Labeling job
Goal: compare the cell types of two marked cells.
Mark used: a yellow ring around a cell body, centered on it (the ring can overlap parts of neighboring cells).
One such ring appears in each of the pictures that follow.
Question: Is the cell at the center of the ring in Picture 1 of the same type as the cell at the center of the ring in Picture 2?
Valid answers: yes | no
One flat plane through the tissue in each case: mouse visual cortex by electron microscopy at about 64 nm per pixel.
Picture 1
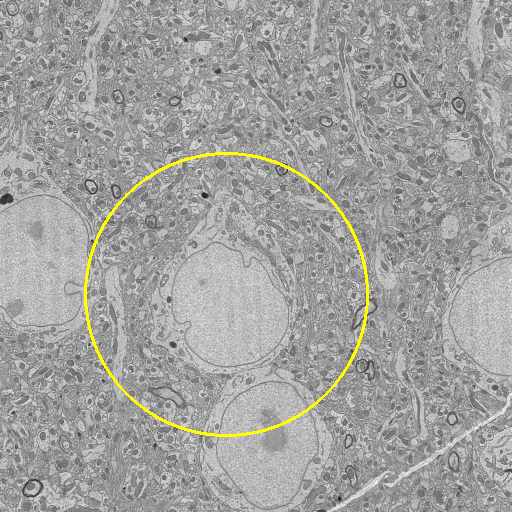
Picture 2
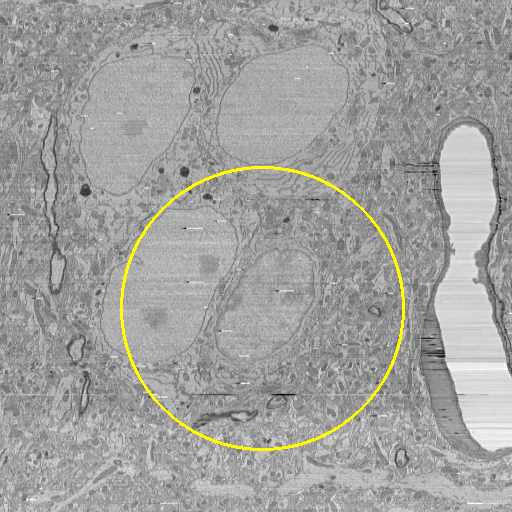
no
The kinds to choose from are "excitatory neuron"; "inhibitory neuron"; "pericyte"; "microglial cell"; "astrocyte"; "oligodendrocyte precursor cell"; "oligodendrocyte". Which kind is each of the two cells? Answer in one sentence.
Of the two, the first cell is an excitatory neuron and the second cell is an oligodendrocyte.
